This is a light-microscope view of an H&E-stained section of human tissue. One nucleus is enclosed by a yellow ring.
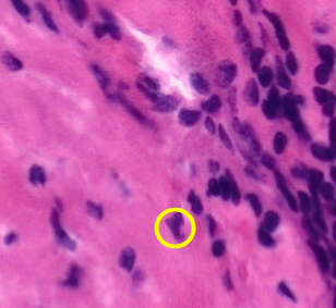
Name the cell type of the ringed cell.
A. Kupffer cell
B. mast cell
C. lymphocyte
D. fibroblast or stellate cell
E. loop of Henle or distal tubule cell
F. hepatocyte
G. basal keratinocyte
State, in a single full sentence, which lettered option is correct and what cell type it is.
Here the right answer is B, with the ringed cell being a mast cell.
